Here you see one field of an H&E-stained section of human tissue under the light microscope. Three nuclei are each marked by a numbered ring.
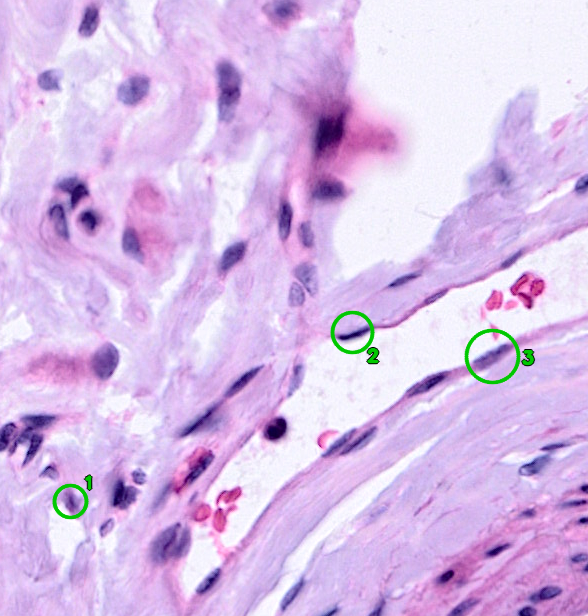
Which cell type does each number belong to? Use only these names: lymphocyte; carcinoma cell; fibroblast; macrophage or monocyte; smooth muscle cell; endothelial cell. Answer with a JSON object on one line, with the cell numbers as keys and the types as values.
{"1": "fibroblast", "2": "endothelial cell", "3": "endothelial cell"}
